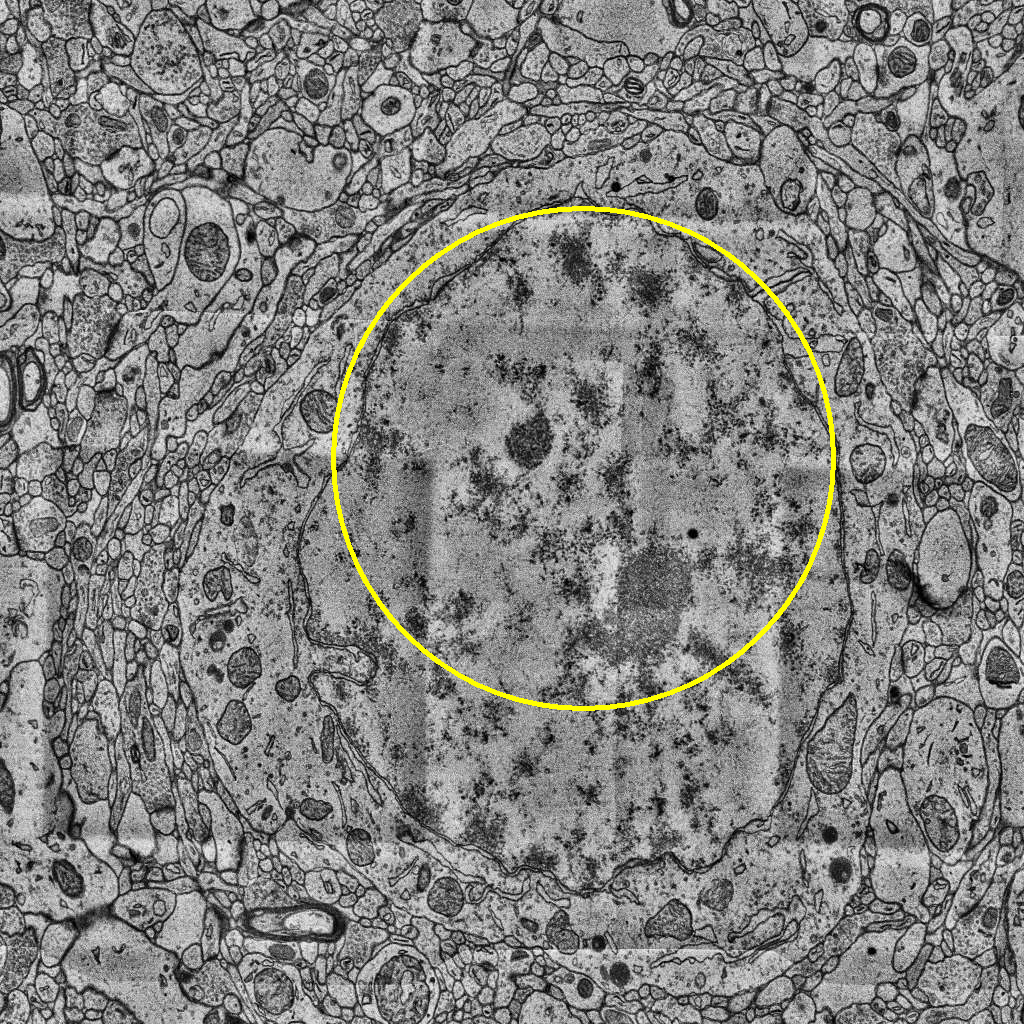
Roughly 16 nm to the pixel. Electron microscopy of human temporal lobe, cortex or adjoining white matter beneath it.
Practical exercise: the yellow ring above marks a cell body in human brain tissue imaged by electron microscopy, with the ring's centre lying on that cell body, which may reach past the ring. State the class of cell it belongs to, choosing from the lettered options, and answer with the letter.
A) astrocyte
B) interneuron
B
